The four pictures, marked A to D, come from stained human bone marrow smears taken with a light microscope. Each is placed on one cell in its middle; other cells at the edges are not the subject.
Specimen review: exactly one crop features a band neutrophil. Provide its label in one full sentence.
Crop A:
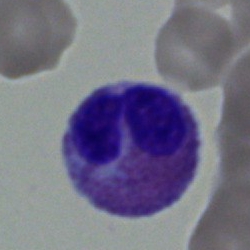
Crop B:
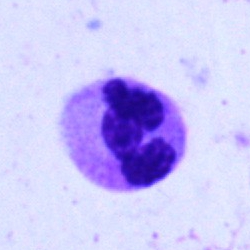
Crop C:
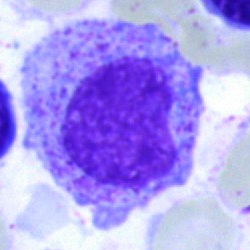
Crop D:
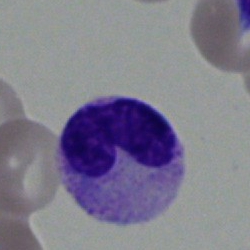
Of the cells presented, the one in crop D is a band neutrophil.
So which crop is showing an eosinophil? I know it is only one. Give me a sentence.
The one showing an eosinophil is crop A.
